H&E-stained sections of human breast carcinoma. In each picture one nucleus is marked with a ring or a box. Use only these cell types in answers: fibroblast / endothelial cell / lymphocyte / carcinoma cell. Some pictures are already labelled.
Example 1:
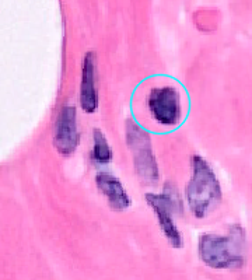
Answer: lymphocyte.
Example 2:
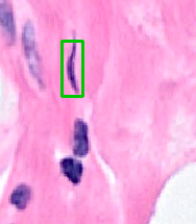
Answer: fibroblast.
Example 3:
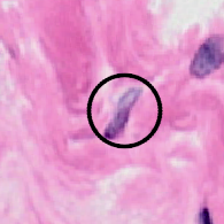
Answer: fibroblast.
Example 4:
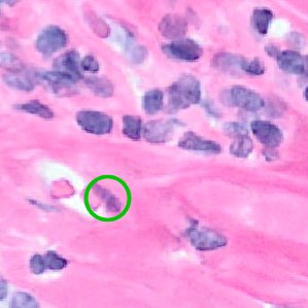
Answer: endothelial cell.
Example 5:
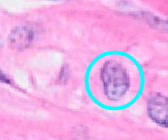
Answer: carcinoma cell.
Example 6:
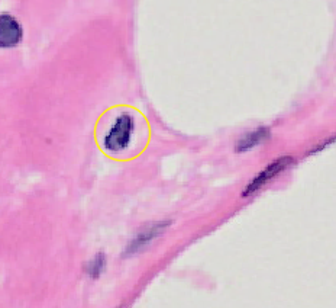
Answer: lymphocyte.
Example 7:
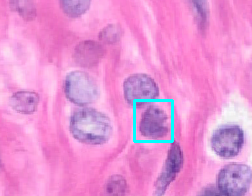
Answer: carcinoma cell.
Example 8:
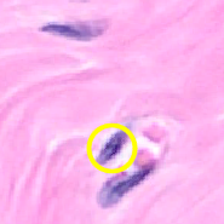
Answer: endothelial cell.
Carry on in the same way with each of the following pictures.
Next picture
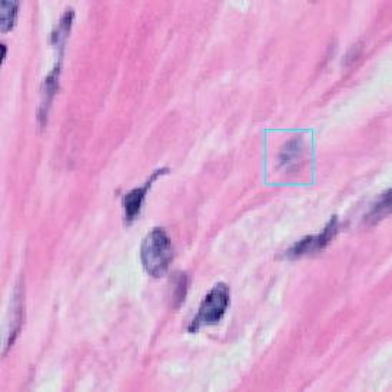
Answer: fibroblast.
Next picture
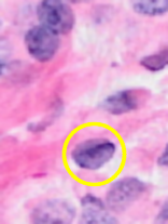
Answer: carcinoma cell.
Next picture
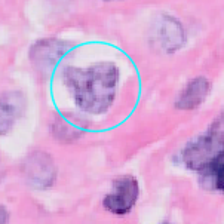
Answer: carcinoma cell.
